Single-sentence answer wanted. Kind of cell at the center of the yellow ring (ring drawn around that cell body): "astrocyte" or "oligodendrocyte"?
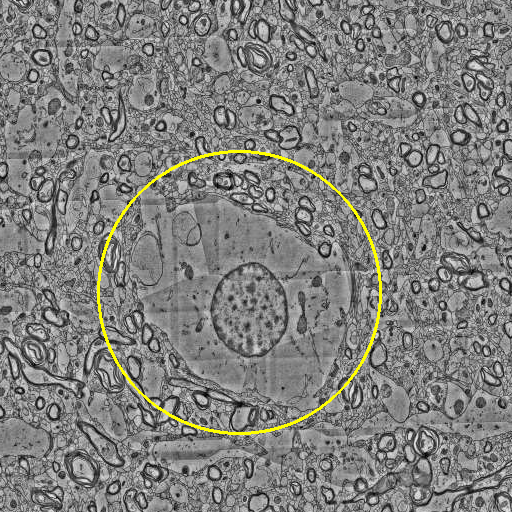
The cell centered in the ring is an astrocyte.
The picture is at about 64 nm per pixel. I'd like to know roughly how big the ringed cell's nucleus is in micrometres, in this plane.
The nucleus works out at approximately 6 by 5 micrometres in this plane.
